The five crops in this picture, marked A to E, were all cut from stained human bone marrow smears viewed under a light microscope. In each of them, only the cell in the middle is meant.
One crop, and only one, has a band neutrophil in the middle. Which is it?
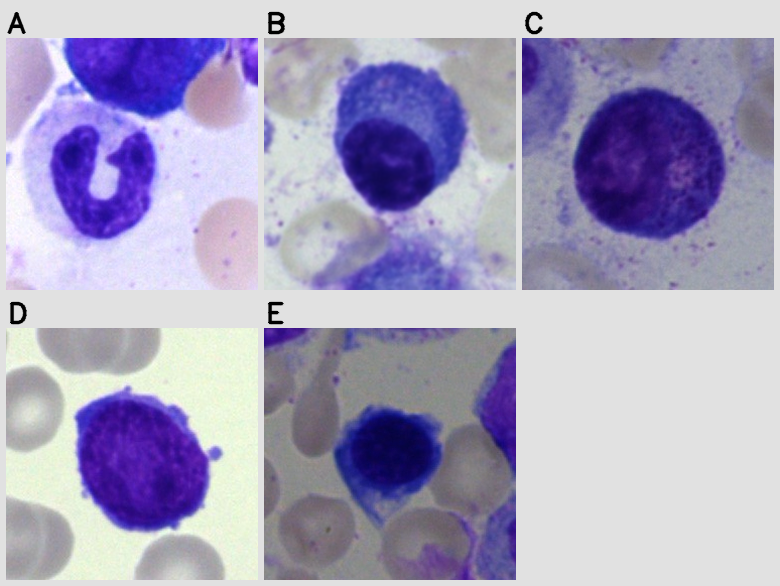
A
